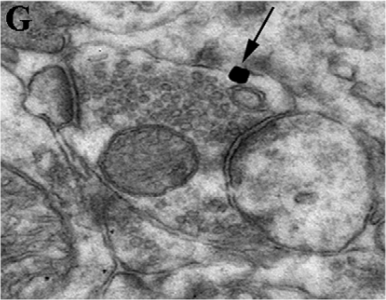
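This electron micrograph shows neuropil with an axon terminal filled with many small round clear synaptic vesicles. A single dense black particle sits on the outer membrane of the terminal, away from the contact zone.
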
